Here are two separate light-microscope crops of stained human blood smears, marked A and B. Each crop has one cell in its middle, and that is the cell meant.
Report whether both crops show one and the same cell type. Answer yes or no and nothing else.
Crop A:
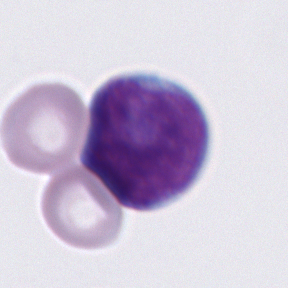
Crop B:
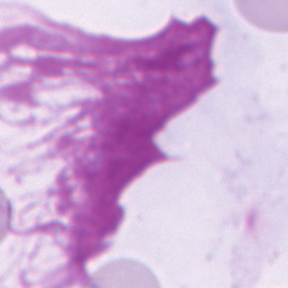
no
